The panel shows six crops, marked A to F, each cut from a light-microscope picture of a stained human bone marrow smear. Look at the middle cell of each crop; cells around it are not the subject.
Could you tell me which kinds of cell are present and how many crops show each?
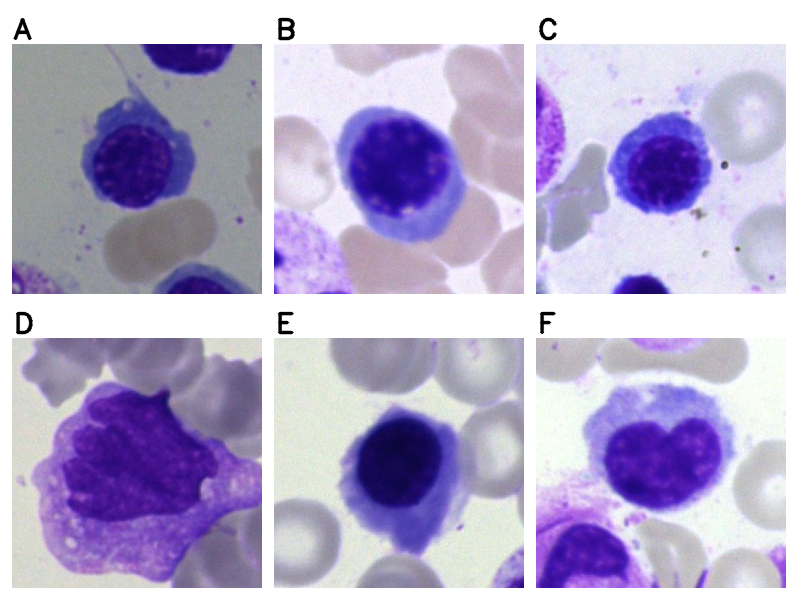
erythroblast: 4
monocyte: 2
